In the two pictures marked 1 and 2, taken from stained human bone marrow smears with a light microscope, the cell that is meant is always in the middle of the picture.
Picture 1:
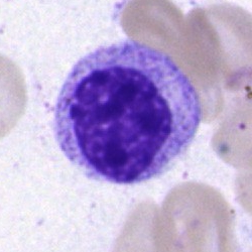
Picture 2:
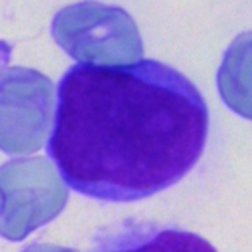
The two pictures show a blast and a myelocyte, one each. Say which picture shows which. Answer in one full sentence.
In picture 1 the cell is a myelocyte; in picture 2, a blast.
